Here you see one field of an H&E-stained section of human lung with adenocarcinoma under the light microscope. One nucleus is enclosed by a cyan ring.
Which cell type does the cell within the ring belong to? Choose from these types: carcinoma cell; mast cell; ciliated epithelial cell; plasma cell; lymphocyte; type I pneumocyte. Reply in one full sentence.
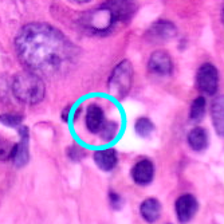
The expected answer is simply that the cell within the ring is a lymphocyte.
